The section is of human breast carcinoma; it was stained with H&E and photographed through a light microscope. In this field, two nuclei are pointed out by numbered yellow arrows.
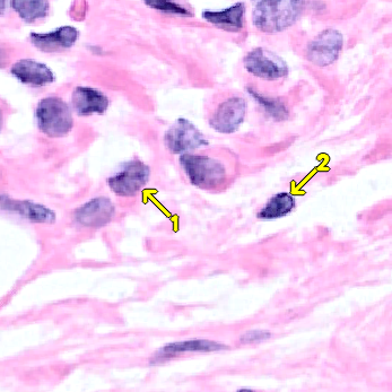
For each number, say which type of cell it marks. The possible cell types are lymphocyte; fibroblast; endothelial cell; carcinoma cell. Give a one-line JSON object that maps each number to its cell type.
{"1": "carcinoma cell", "2": "lymphocyte"}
